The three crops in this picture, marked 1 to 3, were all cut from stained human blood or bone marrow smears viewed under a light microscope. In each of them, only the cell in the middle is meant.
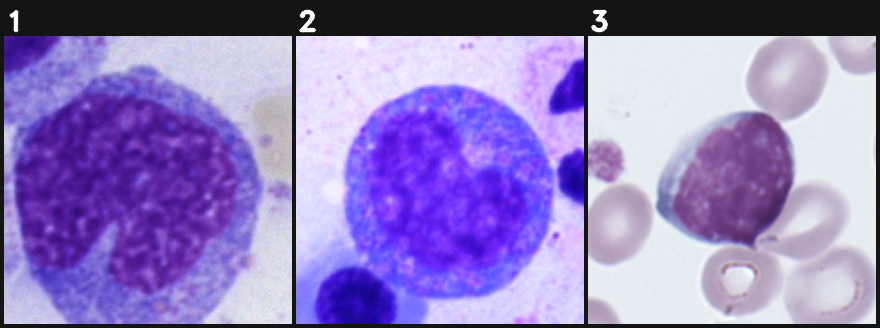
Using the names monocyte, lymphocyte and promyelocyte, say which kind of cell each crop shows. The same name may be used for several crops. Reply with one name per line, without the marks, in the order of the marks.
monocyte
promyelocyte
lymphocyte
